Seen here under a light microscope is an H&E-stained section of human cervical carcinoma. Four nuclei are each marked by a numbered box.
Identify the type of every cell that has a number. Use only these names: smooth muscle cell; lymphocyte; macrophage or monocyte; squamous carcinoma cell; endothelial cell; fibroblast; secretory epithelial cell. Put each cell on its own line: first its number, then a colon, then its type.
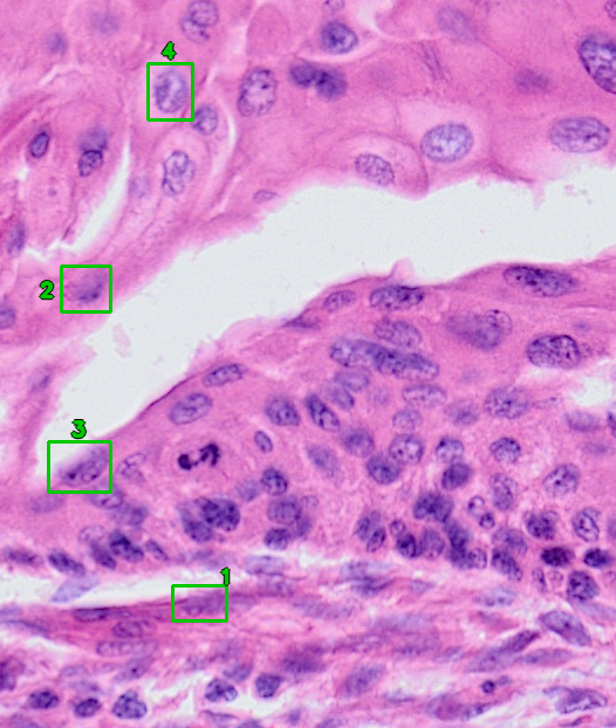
1: fibroblast
2: squamous carcinoma cell
3: squamous carcinoma cell
4: squamous carcinoma cell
